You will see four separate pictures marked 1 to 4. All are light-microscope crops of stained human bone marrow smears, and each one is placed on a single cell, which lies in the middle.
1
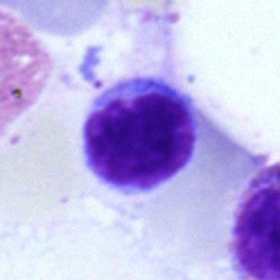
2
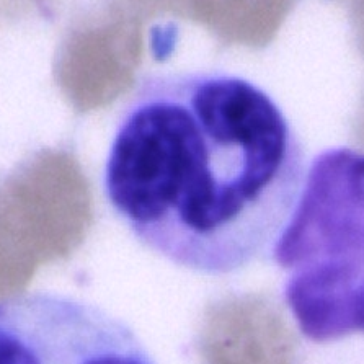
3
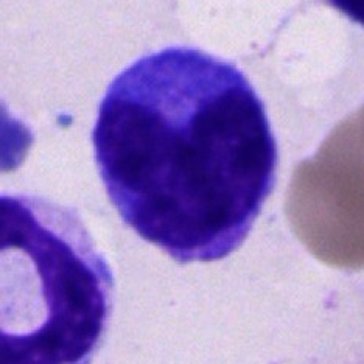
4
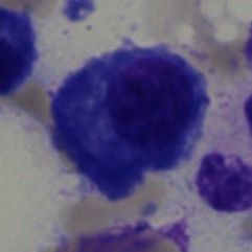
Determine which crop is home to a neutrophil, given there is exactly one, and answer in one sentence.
Crop 2 is the crop that shows a neutrophil in its middle.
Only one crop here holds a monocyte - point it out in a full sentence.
That would be crop 3; it shows a monocyte.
